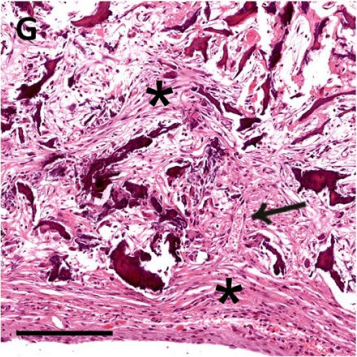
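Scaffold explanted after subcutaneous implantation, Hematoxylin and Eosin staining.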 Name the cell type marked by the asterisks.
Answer: Fibroblast-like cells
